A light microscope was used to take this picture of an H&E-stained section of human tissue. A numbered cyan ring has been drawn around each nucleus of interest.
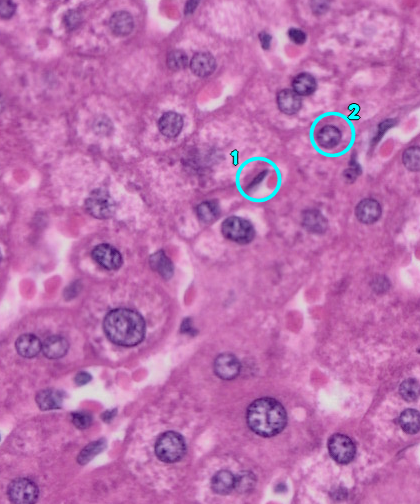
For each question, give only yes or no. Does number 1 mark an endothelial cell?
yes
